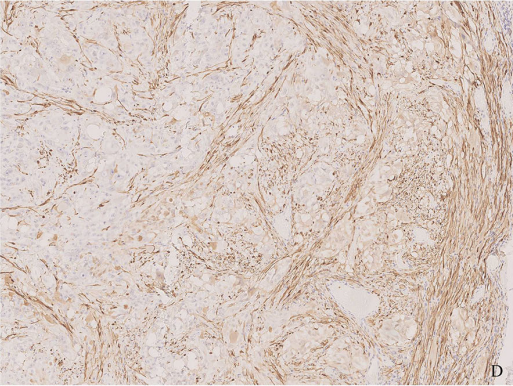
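Brown-stained elongated cells run in long wavy fascicles through the tumor and wrap around paler nests of rounded epithelioid cells. Thin brown processes extend between the pale cells at the edges of the nests. Along one side the spindle cells form a broad dense band.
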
